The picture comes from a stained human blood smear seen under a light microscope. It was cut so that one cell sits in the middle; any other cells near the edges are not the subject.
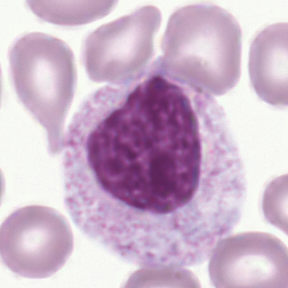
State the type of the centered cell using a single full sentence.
In this crop, the cell at the very middle is a myelocyte.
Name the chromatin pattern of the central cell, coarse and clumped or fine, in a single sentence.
What stands out is chromatin that is coarsely clumped.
